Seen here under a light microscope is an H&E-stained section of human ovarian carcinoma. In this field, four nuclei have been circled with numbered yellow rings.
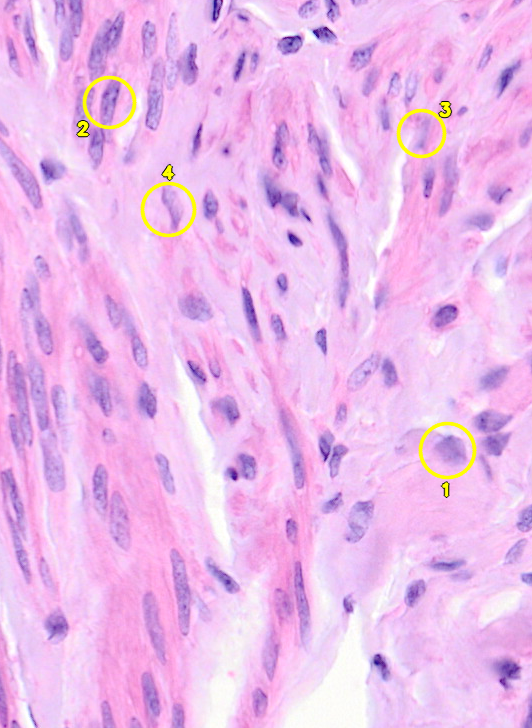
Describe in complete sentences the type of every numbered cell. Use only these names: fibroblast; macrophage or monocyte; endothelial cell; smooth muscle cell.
Cell 1 is a fibroblast. Cells 2, 3 and 4 are smooth muscle cells.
